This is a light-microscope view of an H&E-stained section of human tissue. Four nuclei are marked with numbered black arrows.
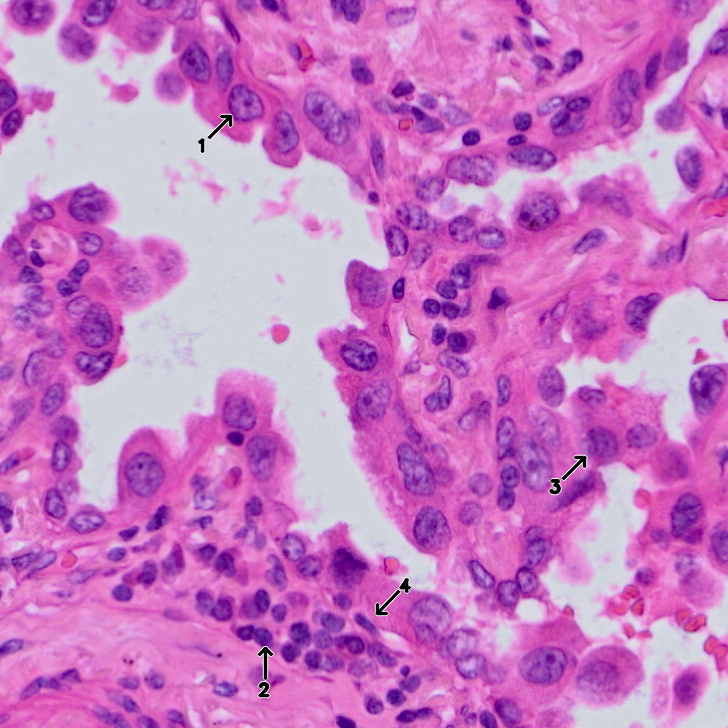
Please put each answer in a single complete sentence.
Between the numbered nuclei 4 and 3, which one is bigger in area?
The larger nucleus is 3, at roughly 4 times the area of 4.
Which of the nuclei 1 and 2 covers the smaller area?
It is nucleus 2; nucleus 1 has about 3 times its area.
